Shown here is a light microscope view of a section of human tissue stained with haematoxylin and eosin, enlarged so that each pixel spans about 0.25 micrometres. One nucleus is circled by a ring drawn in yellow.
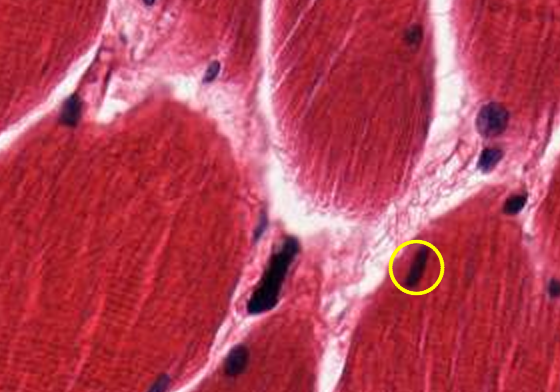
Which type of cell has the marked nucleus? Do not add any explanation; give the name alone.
skeletal muscle fibre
